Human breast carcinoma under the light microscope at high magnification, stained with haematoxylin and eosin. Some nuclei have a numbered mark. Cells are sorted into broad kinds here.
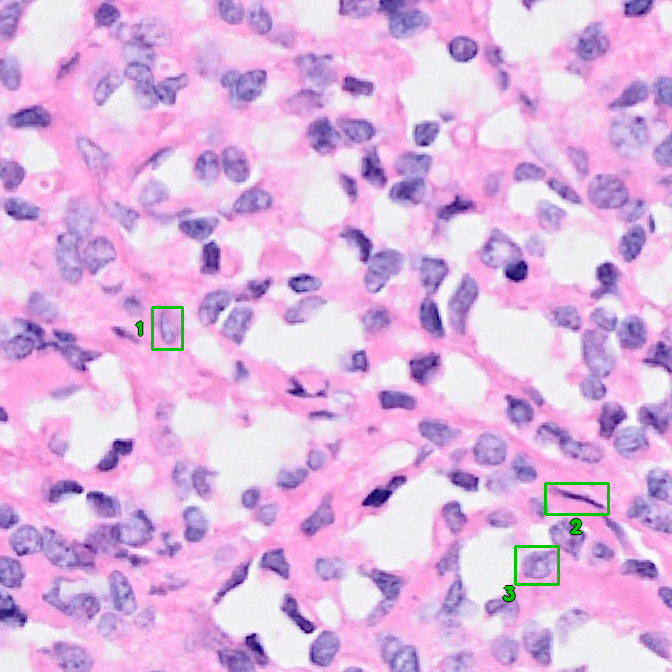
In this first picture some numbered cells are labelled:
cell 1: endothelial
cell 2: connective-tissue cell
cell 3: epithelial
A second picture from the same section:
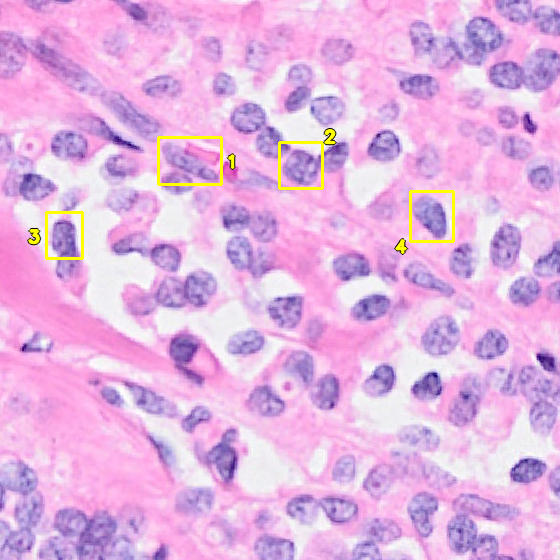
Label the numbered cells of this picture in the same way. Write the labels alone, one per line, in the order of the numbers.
endothelial
epithelial
epithelial
epithelial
